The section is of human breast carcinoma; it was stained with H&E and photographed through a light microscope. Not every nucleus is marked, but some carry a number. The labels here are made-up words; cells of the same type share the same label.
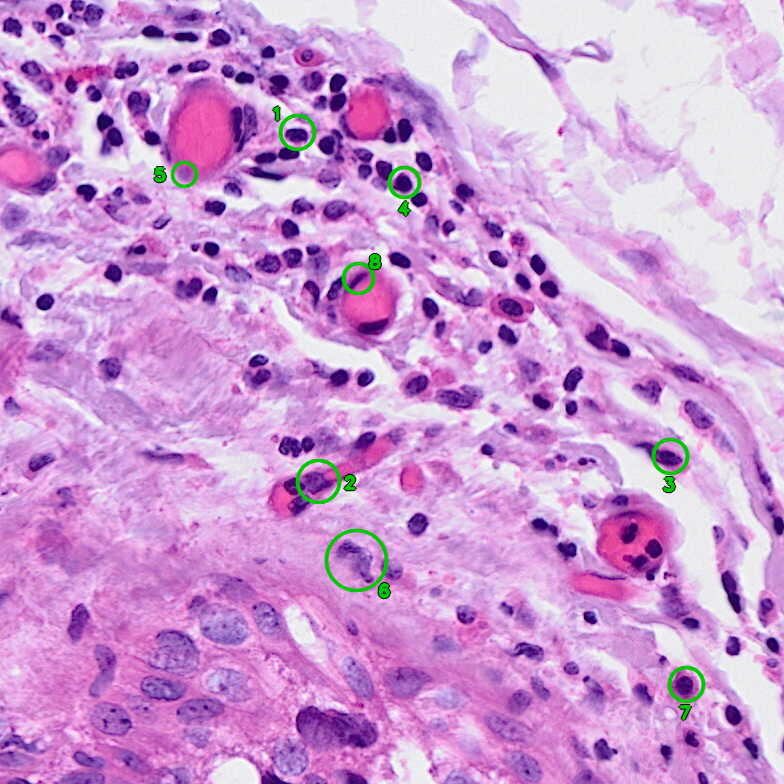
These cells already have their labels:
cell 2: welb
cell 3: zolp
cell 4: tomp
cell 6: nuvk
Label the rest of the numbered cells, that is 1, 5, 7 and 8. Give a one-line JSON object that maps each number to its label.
{"1": "tomp", "5": "welb", "7": "zolp", "8": "welb"}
